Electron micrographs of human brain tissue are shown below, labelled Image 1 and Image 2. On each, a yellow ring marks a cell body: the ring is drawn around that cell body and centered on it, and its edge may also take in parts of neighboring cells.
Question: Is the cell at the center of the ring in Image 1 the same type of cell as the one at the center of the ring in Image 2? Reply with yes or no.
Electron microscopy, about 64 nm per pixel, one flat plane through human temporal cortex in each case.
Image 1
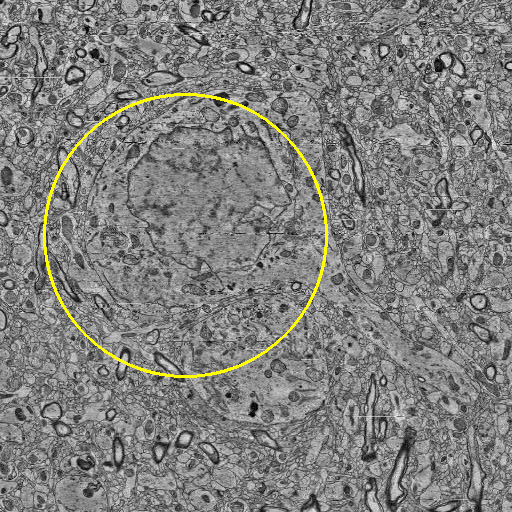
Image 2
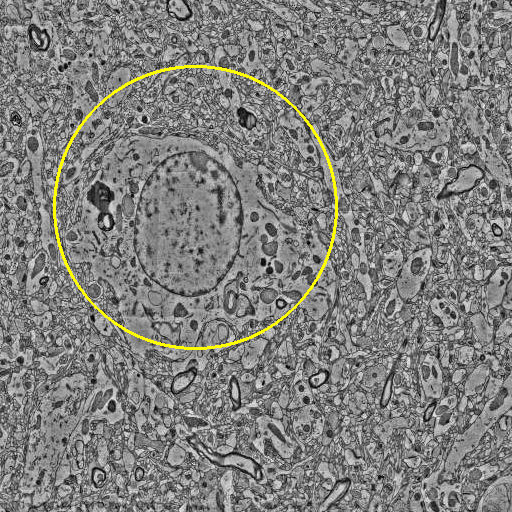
no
